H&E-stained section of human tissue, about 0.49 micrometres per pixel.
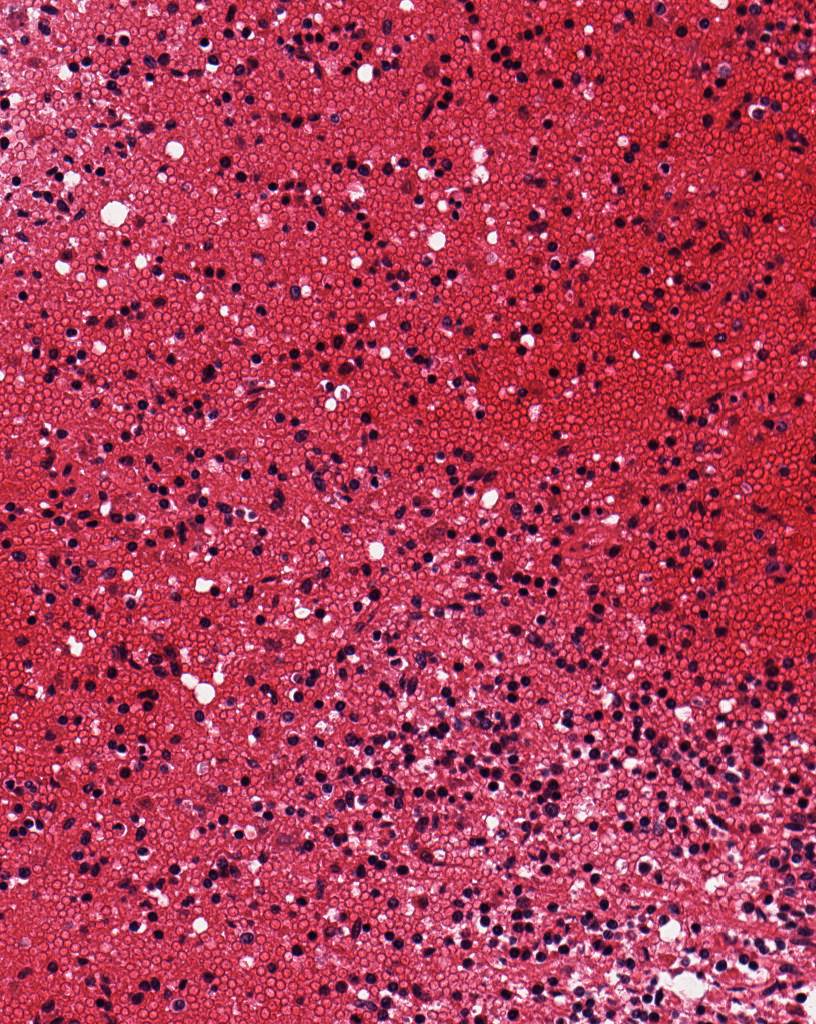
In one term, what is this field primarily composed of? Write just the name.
red pulp of the spleen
